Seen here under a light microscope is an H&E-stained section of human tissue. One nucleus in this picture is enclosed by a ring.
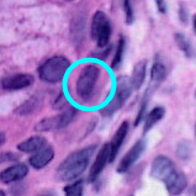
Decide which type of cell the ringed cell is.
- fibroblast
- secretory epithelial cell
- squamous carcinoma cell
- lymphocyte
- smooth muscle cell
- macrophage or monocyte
secretory epithelial cell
